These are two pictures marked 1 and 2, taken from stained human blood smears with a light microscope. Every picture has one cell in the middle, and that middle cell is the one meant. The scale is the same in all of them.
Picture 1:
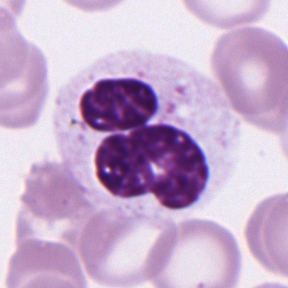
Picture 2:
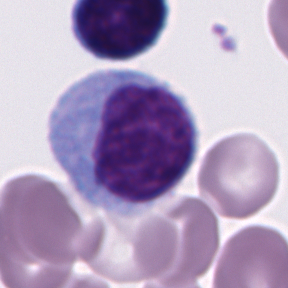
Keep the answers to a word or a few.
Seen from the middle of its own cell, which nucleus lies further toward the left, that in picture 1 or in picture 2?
1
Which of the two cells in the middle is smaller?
2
